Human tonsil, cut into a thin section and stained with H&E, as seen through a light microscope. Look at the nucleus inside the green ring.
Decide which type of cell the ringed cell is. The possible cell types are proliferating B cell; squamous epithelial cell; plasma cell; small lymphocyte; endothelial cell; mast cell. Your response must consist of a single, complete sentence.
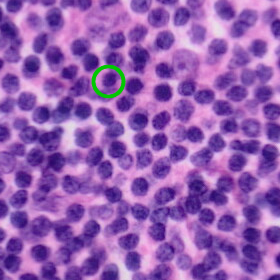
To be brief about it, the ringed cell is a small lymphocyte.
